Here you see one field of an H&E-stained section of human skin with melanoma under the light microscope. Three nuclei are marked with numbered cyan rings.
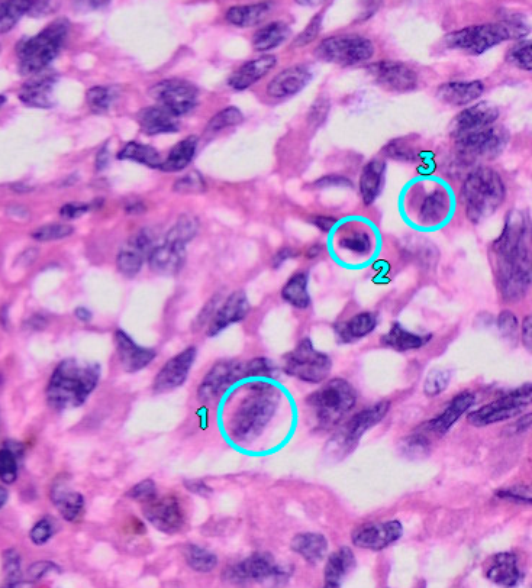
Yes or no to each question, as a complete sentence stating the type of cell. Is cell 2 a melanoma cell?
No, it is a lymphocyte, rather than a melanoma cell, that carries number 2.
